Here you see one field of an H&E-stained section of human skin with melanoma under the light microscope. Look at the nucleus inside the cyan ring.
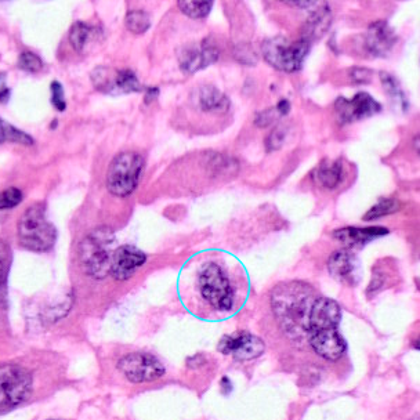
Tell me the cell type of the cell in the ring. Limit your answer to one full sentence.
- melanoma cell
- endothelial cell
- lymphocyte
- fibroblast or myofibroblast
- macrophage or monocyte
Cytologically, the cell in the ring is to be regarded as a melanoma cell.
